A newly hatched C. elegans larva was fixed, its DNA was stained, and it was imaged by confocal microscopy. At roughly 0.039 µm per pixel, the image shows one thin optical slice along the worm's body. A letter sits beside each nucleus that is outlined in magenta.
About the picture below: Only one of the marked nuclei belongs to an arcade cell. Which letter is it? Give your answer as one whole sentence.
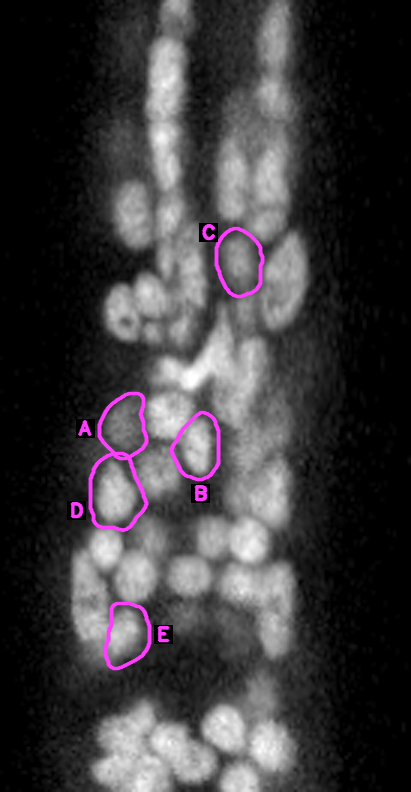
C is from an arcade cell.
